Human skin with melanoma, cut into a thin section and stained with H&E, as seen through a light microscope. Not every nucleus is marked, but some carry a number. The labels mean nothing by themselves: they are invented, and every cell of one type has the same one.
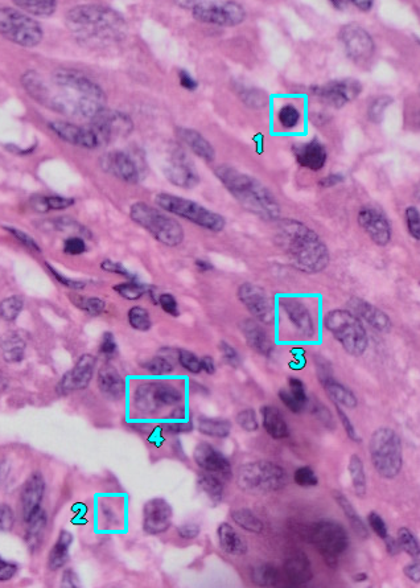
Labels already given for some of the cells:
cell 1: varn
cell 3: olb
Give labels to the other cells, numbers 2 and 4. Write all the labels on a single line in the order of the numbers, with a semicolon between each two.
olb; olb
